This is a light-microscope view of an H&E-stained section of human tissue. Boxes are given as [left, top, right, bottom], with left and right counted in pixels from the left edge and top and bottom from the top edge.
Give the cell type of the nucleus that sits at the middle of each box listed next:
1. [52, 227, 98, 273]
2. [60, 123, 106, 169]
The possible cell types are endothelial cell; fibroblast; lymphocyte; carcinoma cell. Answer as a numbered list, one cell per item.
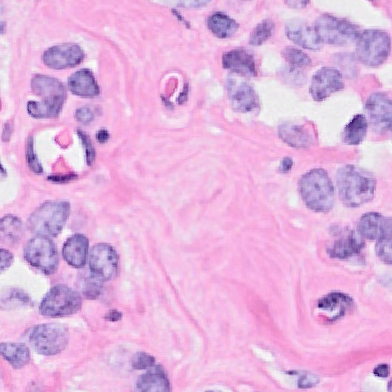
1. carcinoma cell
2. endothelial cell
